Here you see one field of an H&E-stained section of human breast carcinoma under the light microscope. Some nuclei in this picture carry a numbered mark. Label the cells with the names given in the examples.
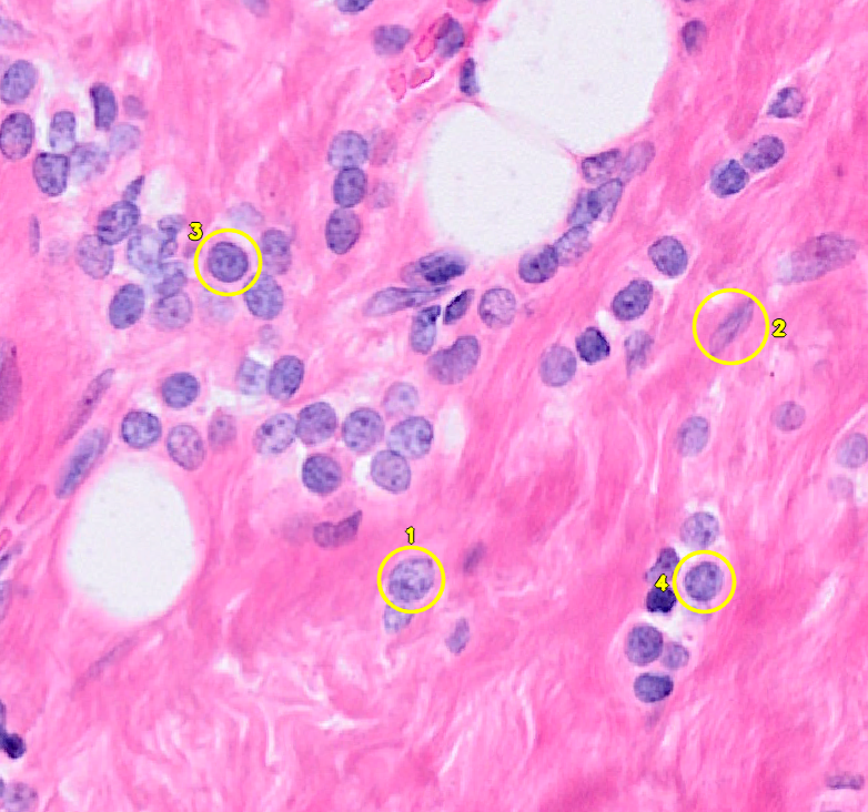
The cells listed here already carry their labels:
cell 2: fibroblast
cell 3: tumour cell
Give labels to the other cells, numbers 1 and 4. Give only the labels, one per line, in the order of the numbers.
tumour cell
tumour cell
